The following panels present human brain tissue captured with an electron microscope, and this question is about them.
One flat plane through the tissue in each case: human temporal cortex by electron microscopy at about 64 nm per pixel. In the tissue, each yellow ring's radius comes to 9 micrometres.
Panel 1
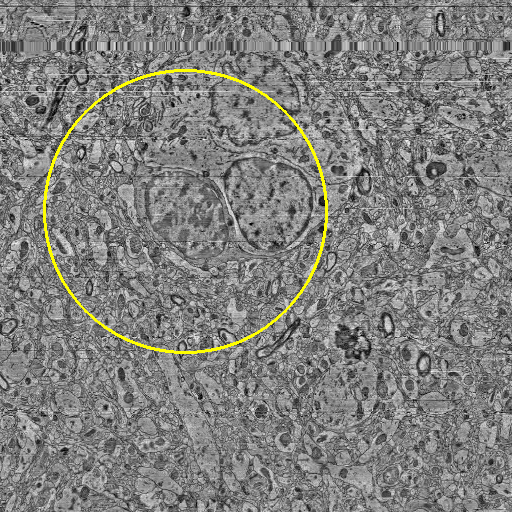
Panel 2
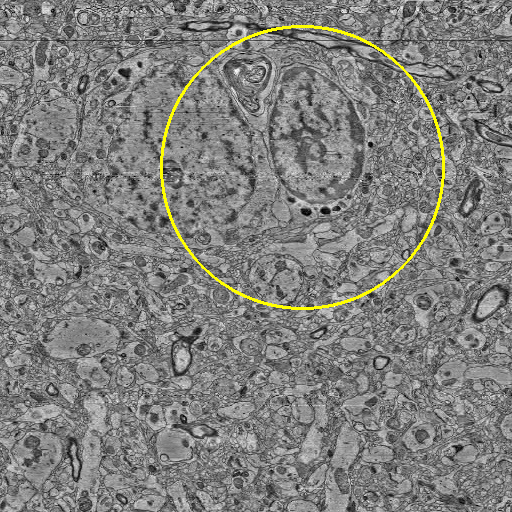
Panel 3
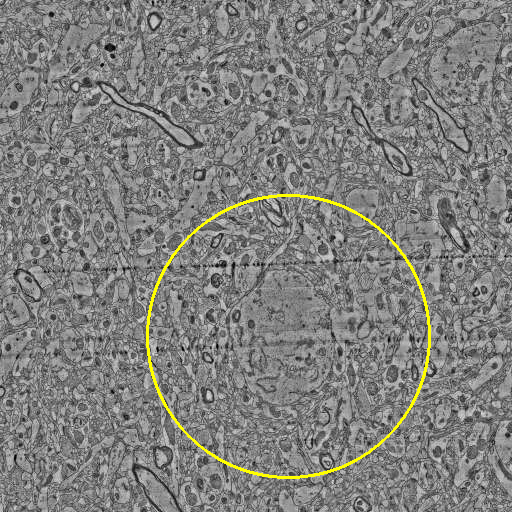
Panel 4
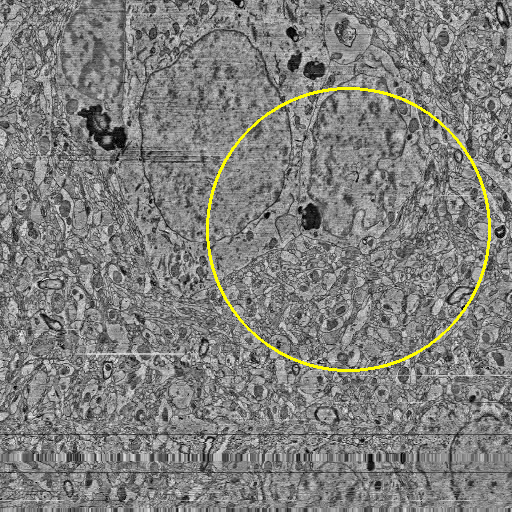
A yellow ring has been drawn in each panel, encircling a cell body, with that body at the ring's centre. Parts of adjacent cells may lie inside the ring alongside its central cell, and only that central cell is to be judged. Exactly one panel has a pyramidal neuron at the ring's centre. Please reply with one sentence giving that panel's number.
The ring whose central cell fits the description is the one in panel 3.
